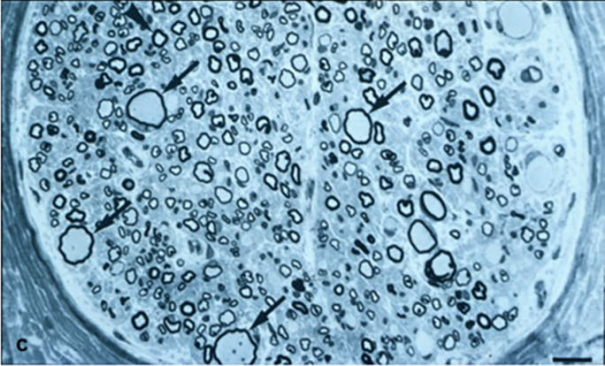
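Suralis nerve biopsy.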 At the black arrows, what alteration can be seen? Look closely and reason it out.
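The arrowed fibres are several times wider than most fibres in the fascicle. Their pale interiors are ringed by a dark rim that is thin for their size.
Hence: enlarged axons.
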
